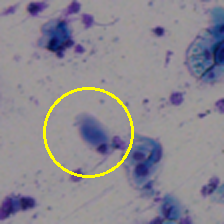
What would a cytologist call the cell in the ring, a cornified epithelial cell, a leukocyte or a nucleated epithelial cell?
A cytologist would call it a cornified epithelial cell.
